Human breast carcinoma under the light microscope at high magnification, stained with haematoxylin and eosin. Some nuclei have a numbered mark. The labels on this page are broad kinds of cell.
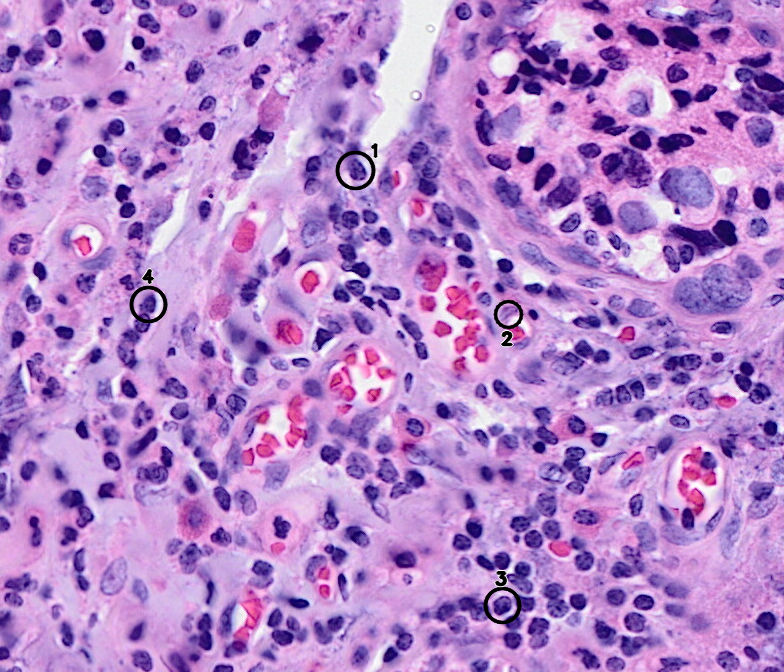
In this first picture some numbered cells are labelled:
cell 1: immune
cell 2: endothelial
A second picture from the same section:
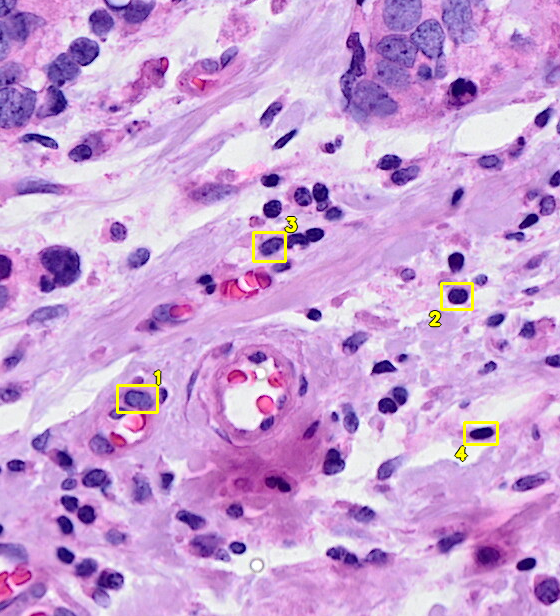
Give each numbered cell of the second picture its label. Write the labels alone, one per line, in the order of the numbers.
endothelial
immune
immune
immune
